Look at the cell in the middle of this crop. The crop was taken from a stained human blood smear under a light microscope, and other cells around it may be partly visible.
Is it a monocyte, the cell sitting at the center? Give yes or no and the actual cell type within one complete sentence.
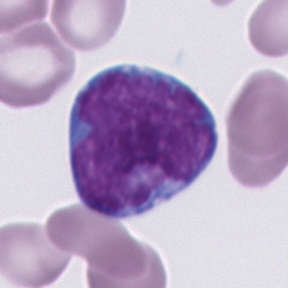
No, this is not a monocyte at all; the cell in the middle is a blast.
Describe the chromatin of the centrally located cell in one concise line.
The chromatin here is fine and lacks any coarse clumps.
